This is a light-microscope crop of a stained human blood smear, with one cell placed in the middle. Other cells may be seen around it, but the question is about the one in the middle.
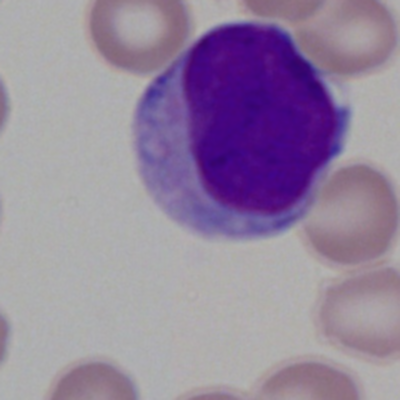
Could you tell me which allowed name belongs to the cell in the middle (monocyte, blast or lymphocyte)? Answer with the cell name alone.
blast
